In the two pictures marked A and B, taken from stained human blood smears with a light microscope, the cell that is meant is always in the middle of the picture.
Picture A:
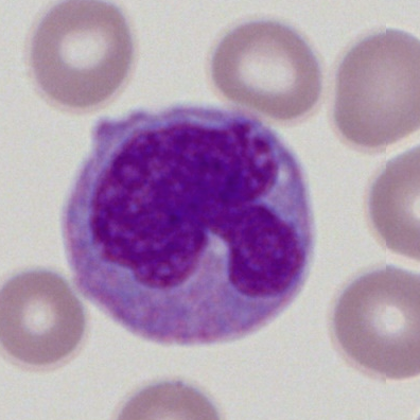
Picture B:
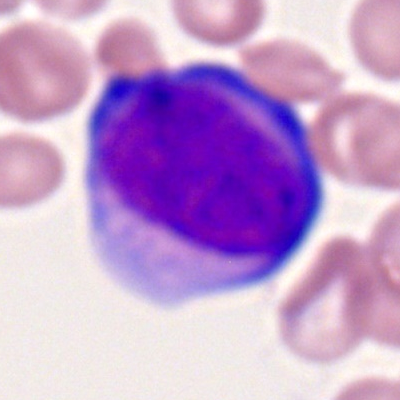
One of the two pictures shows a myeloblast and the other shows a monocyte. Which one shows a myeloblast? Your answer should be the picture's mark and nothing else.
B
